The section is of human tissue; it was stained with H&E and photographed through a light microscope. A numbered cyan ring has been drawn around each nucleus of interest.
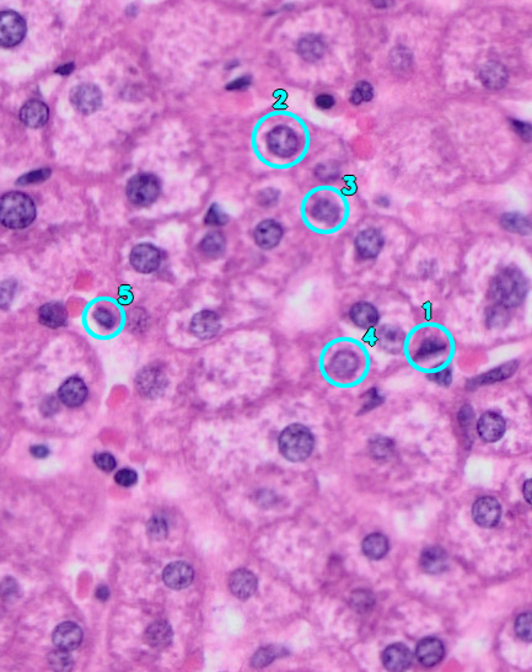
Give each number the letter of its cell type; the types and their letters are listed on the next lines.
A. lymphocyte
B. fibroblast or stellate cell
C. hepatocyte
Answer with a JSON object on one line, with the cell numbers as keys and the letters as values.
{"1": "B", "2": "C", "3": "C", "4": "C", "5": "A"}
